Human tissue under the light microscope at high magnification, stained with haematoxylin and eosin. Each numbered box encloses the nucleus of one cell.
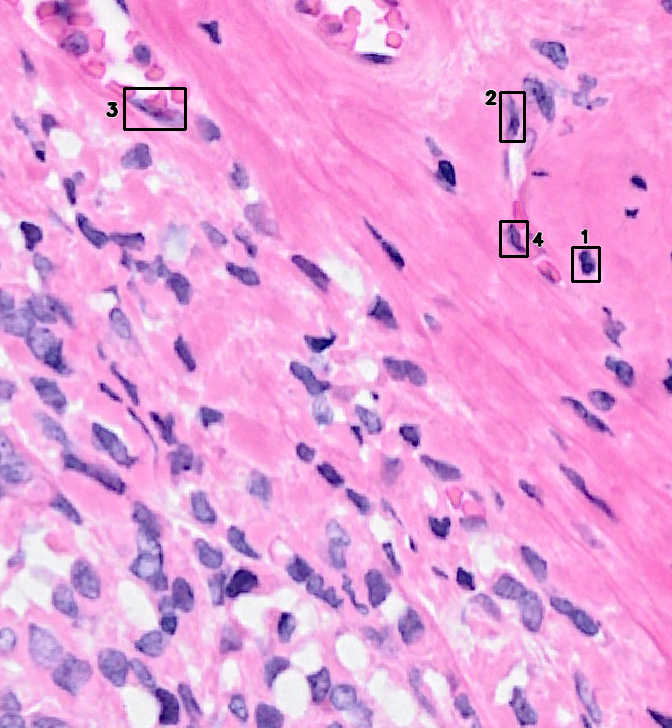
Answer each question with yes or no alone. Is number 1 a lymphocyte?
yes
